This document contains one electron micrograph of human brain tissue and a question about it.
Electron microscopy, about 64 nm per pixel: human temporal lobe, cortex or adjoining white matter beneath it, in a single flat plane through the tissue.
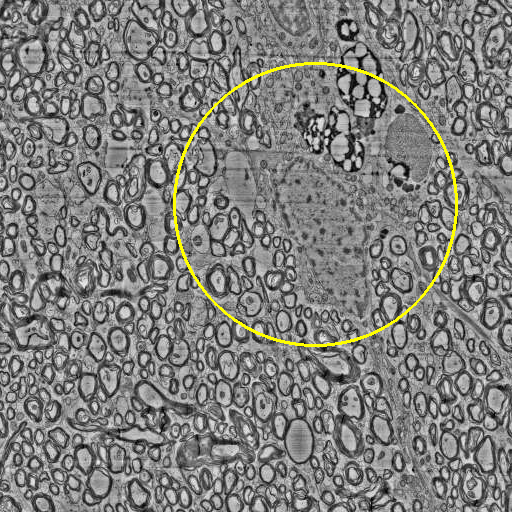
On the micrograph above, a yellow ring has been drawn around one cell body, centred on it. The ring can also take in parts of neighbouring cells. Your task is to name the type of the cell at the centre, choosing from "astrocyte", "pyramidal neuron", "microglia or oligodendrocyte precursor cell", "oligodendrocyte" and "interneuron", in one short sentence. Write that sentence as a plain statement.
Here the ring is centred on an astrocyte.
